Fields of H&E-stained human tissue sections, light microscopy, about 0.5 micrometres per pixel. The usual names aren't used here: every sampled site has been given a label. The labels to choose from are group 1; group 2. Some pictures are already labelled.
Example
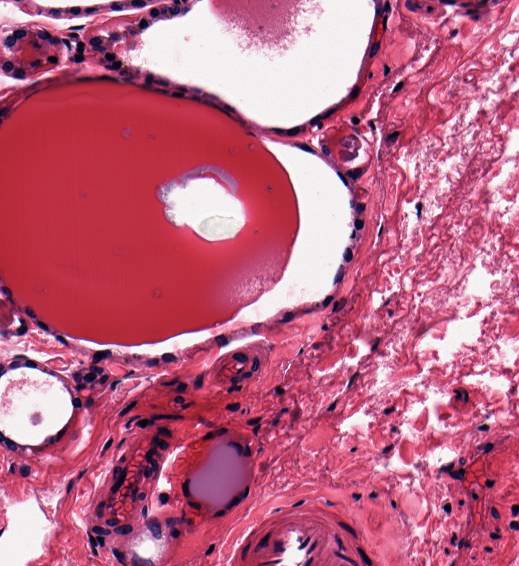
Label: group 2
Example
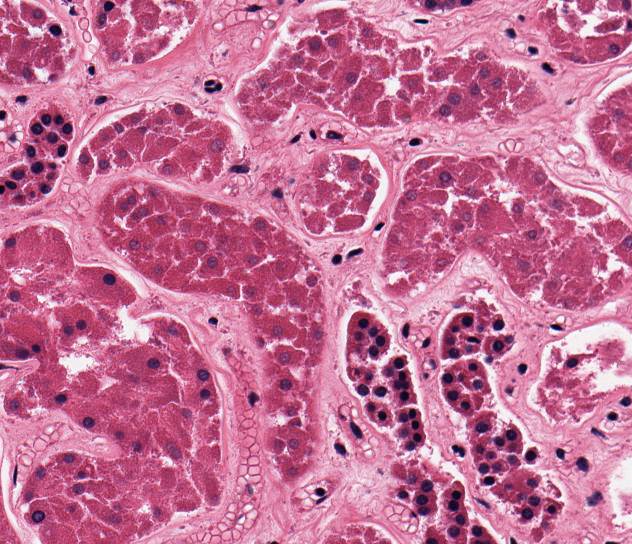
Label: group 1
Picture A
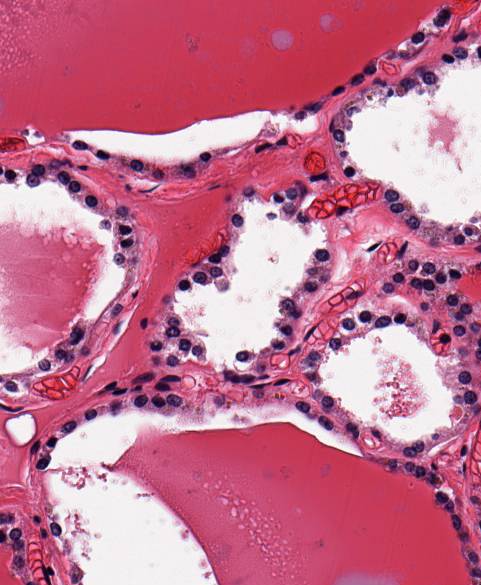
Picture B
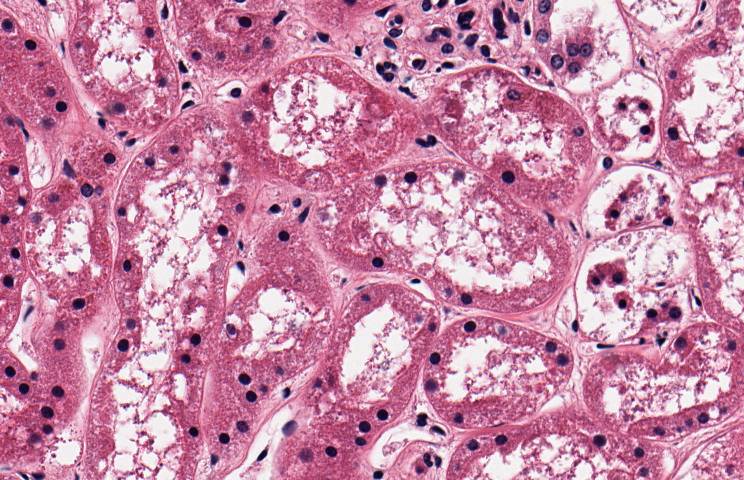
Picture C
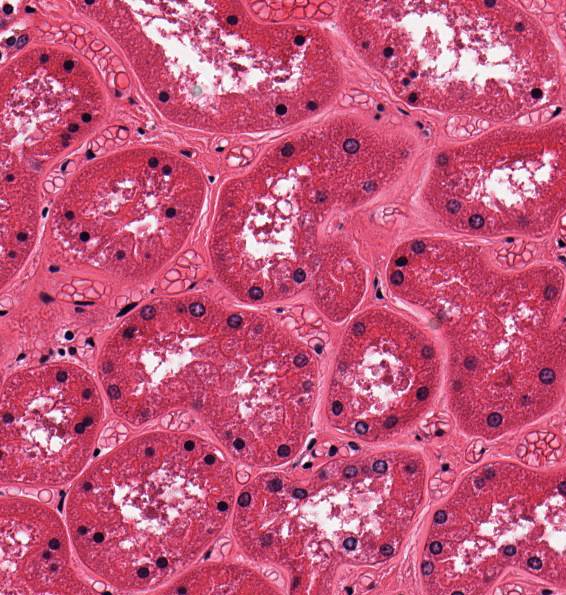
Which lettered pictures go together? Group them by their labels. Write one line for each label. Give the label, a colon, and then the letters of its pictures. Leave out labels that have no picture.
group 1: B, C
group 2: A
